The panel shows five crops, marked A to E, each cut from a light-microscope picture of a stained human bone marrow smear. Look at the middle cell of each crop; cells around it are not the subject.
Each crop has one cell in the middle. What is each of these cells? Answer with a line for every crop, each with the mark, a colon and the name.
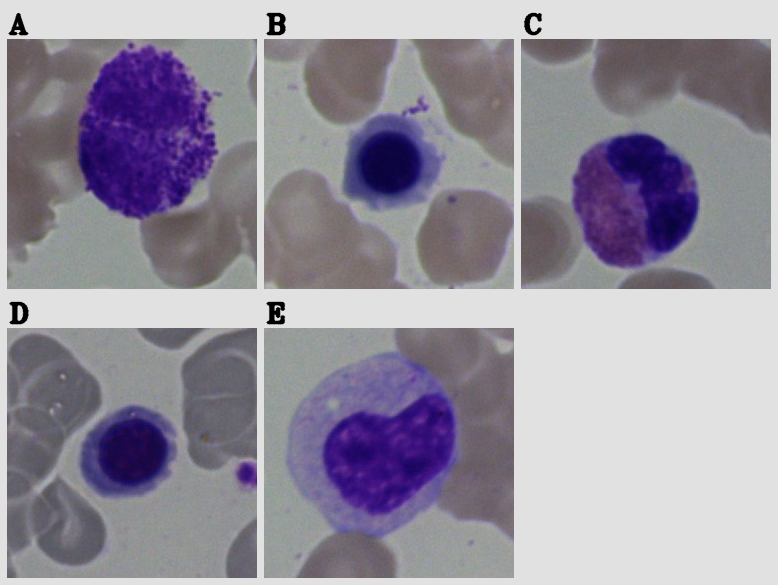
A: basophil
B: erythroblast
C: eosinophil
D: erythroblast
E: metamyelocyte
